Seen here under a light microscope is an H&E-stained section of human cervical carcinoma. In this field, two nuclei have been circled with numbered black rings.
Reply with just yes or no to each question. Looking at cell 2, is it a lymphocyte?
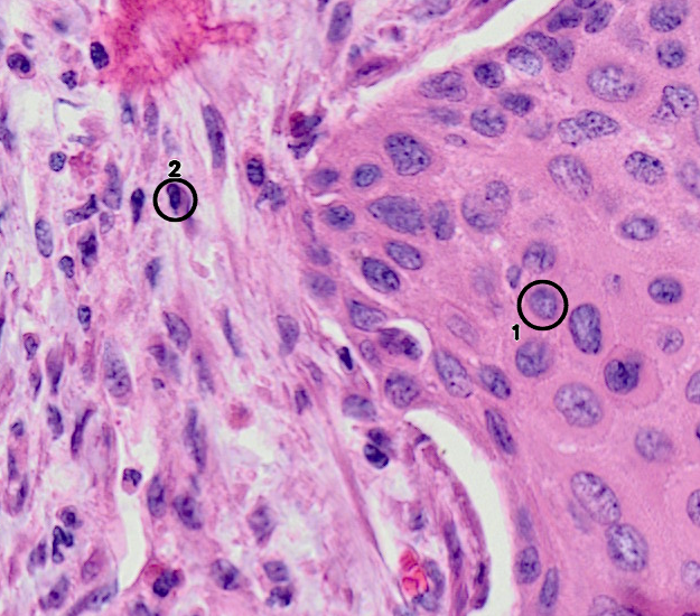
yes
